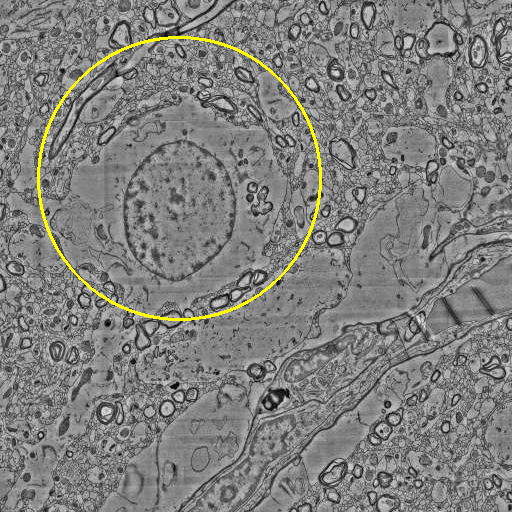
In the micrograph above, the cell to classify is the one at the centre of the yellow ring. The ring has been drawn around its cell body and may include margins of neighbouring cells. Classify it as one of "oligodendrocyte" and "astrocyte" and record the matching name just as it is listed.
astrocyte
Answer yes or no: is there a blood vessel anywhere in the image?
Yes, a vessel appears in the picture.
